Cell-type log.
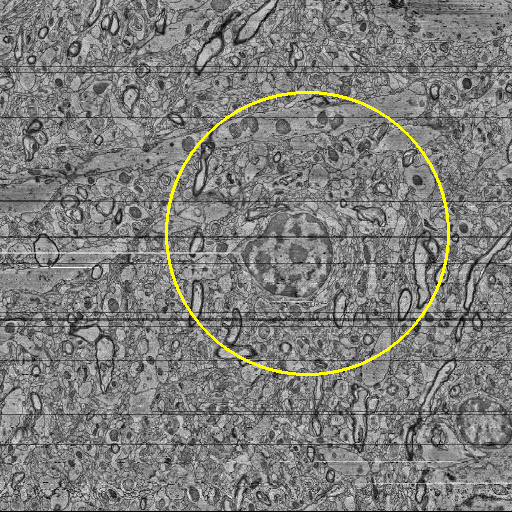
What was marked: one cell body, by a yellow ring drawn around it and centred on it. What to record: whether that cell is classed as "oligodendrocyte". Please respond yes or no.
No, the cell belongs to another class.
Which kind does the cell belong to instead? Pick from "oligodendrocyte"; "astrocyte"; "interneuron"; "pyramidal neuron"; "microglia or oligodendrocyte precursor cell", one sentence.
What the ring is centred on is a microglial cell or oligodendrocyte precursor cell.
